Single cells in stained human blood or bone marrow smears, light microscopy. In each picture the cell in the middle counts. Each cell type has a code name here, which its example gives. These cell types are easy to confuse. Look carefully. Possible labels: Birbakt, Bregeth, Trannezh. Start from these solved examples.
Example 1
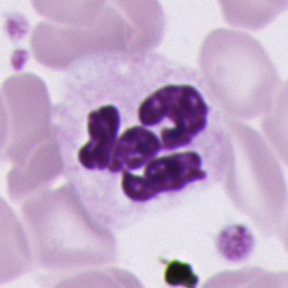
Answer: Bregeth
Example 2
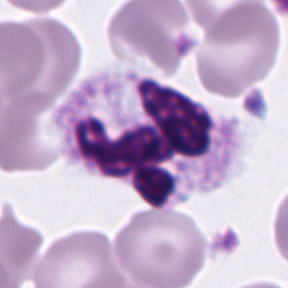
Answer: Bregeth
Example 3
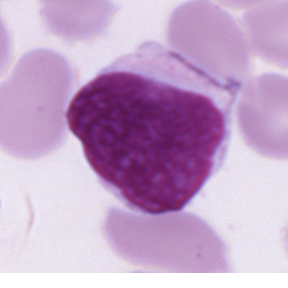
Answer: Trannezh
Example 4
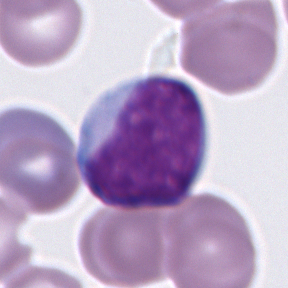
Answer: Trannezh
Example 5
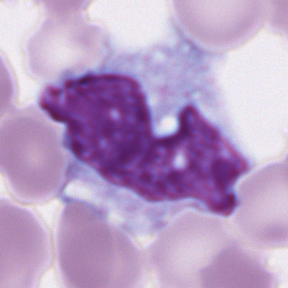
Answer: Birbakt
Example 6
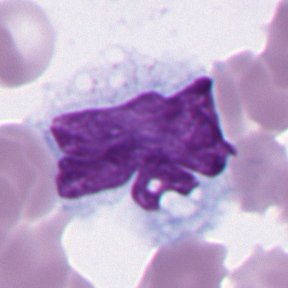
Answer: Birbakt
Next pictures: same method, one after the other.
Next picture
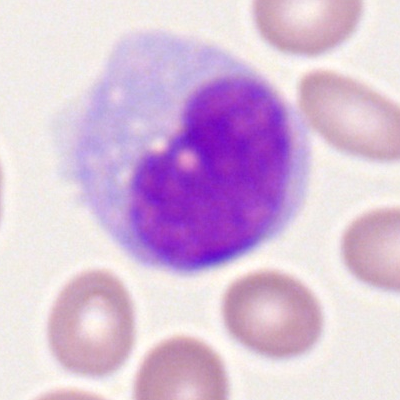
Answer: Birbakt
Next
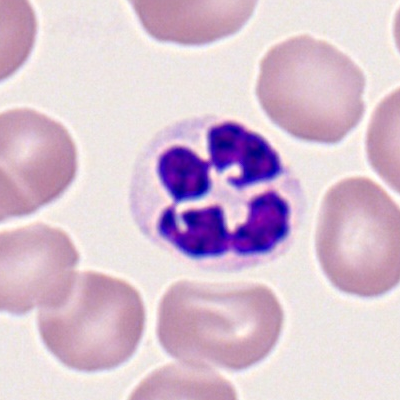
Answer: Bregeth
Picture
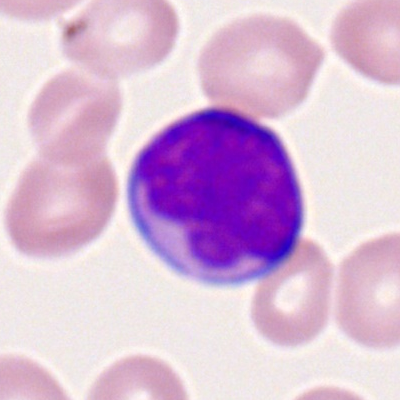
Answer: Trannezh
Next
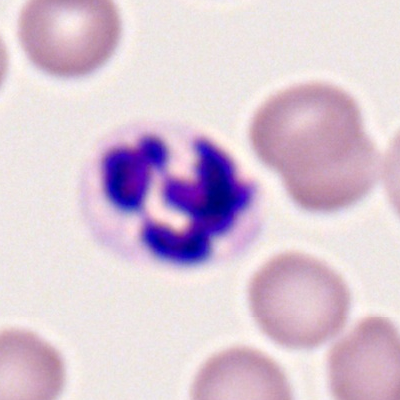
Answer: Bregeth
